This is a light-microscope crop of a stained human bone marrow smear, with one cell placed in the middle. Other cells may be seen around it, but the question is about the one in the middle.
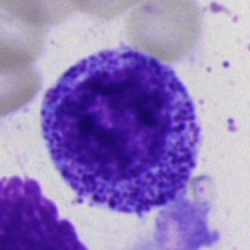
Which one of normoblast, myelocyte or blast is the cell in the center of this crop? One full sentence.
As for the central cell, it is a myelocyte.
